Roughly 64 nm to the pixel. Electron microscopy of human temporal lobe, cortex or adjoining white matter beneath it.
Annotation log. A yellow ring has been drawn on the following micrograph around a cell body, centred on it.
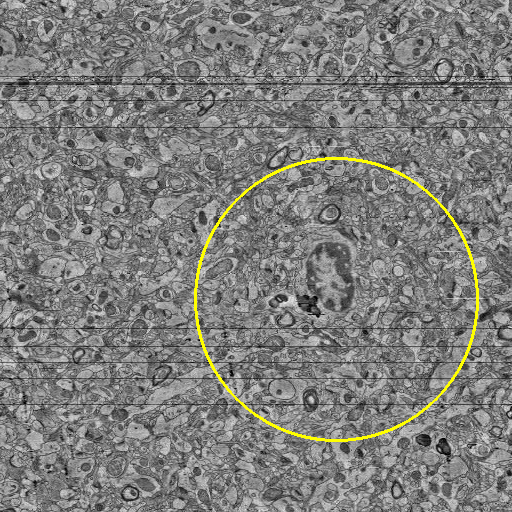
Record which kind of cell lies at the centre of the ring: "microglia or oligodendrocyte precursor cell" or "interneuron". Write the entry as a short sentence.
The cell the ring is centred on is a microglial cell or oligodendrocyte precursor cell.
